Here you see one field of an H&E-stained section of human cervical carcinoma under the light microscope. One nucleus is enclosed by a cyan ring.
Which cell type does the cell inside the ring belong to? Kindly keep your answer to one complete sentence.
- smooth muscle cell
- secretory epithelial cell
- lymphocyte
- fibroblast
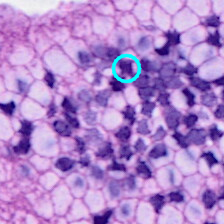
In this section of tissue, the cell inside the ring is a secretory epithelial cell.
